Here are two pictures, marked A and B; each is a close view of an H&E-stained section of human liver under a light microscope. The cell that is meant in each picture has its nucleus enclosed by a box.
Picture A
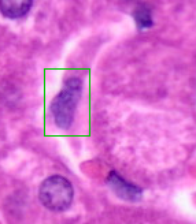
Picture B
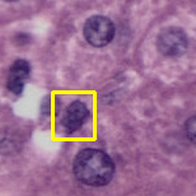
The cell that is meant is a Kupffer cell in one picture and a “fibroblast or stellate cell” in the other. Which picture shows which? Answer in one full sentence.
Picture A is of a Kupffer cell, and picture B is of a “fibroblast or stellate cell”.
